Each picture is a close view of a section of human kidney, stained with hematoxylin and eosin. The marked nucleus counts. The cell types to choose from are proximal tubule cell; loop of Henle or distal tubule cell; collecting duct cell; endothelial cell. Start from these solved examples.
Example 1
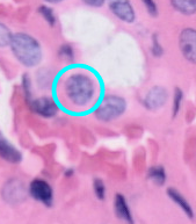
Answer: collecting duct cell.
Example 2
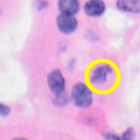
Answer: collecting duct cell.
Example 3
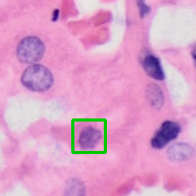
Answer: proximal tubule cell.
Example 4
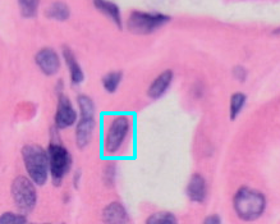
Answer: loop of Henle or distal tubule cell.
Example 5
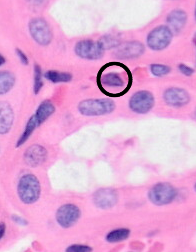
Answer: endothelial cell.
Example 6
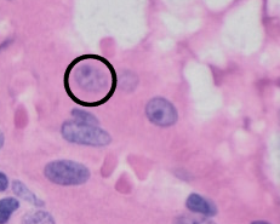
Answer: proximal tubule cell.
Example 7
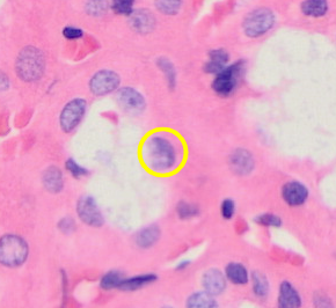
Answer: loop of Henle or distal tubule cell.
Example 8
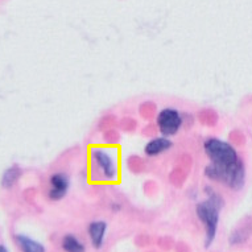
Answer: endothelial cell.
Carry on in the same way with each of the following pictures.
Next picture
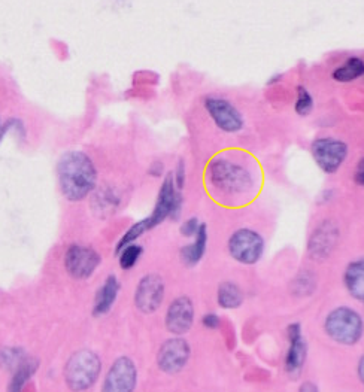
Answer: loop of Henle or distal tubule cell.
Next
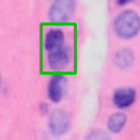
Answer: collecting duct cell.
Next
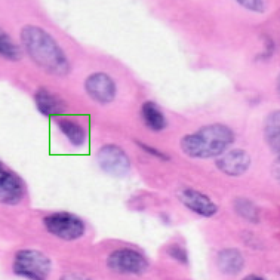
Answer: loop of Henle or distal tubule cell.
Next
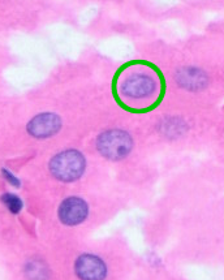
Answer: proximal tubule cell.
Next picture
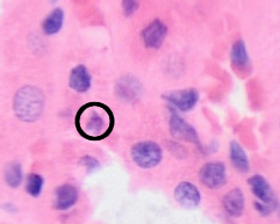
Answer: loop of Henle or distal tubule cell.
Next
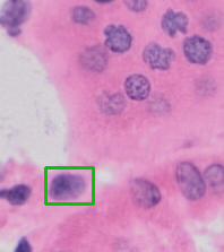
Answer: endothelial cell.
